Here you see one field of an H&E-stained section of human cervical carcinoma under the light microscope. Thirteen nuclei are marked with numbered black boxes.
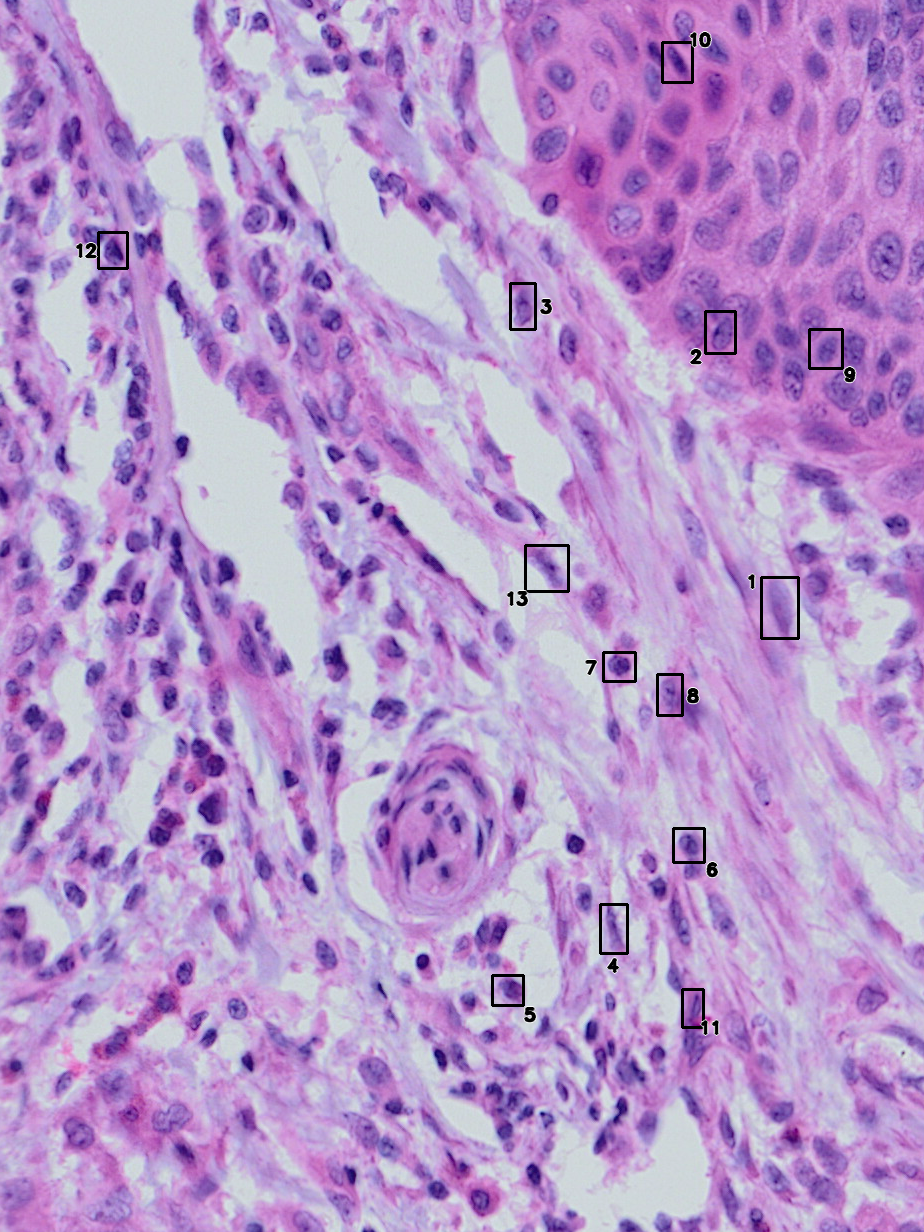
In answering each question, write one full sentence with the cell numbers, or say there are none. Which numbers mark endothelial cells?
In this section, the cells numbered 8 and 11 are endothelial cells.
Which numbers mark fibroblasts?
The numbers 1, 3, 4 and 13 mark cells that are fibroblasts.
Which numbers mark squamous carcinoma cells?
The cells with numbers 2, 9 and 10 are squamous carcinoma cells by type.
